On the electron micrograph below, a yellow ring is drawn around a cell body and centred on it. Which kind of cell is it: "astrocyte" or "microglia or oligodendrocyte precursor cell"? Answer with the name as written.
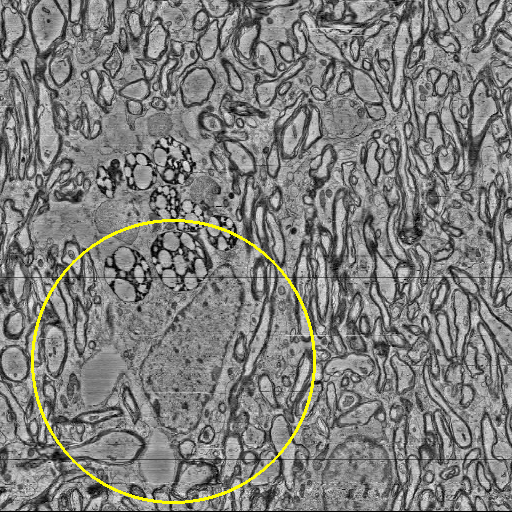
astrocyte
